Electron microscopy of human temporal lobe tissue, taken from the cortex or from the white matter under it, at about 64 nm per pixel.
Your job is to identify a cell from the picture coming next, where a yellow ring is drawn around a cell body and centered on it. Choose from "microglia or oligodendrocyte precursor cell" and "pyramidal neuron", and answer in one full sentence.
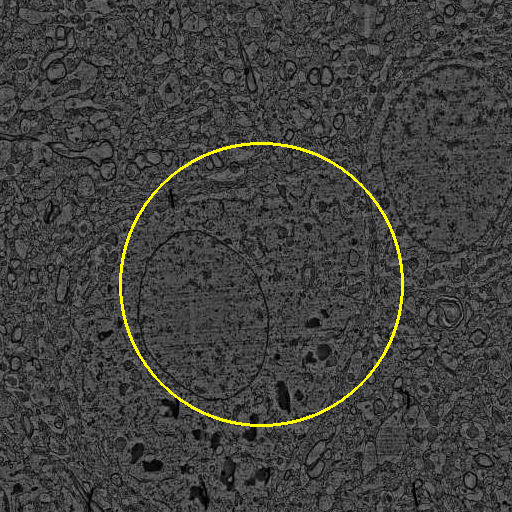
Centered in the yellow ring of the picture is the body of a pyramidal neuron.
